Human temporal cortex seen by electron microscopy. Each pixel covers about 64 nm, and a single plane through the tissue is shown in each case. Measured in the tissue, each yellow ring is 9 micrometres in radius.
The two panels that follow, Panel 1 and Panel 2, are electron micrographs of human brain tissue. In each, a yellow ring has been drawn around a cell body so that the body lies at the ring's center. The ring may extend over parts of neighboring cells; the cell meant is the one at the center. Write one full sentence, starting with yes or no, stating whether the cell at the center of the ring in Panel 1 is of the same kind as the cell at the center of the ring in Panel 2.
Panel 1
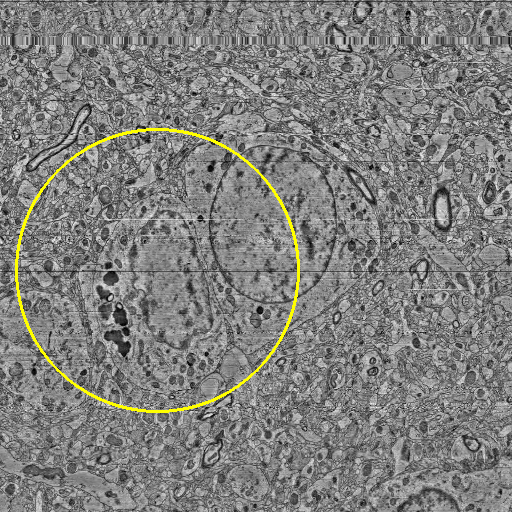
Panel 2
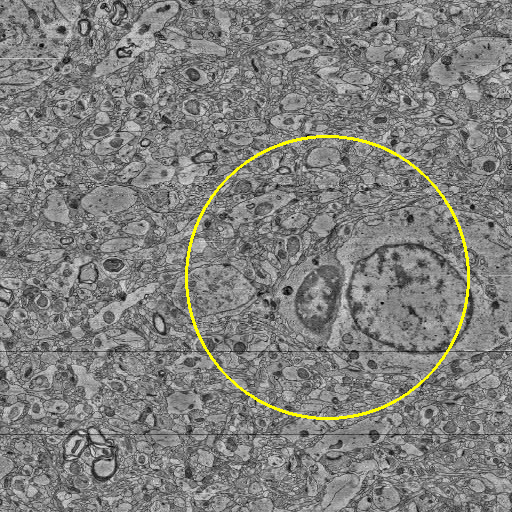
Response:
No, the cells in the two panels are of two kinds.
